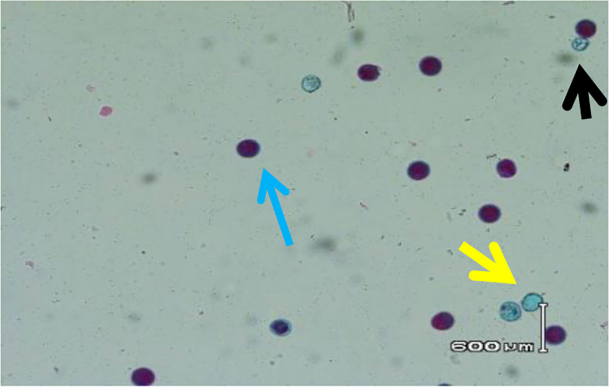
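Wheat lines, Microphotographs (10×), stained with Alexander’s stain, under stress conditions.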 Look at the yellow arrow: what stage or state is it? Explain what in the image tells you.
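Non-viable pollen grains. The arrowed grains are stained blue-green instead of purple.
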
